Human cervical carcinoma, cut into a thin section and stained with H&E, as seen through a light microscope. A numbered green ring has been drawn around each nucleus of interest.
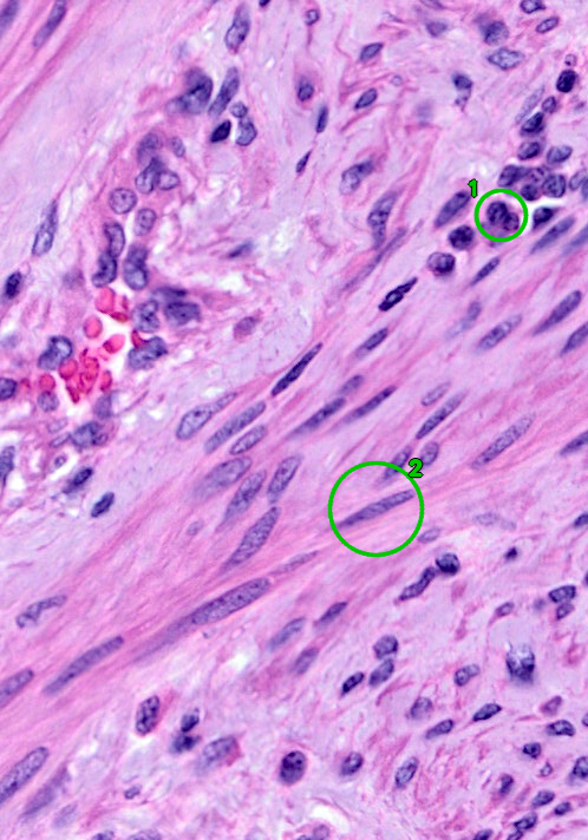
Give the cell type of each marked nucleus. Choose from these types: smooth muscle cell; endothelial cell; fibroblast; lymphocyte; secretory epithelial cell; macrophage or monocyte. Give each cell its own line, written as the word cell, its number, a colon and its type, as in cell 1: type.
cell 1: lymphocyte
cell 2: smooth muscle cell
